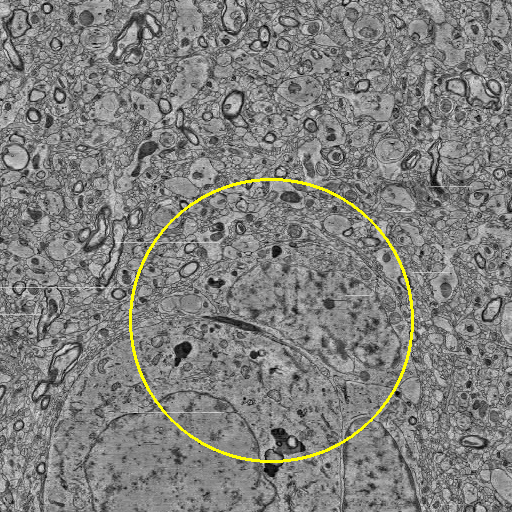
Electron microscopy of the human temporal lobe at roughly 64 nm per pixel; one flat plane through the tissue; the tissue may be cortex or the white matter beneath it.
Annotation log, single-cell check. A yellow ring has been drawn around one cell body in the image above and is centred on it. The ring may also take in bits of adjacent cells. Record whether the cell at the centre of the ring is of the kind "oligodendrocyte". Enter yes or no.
no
